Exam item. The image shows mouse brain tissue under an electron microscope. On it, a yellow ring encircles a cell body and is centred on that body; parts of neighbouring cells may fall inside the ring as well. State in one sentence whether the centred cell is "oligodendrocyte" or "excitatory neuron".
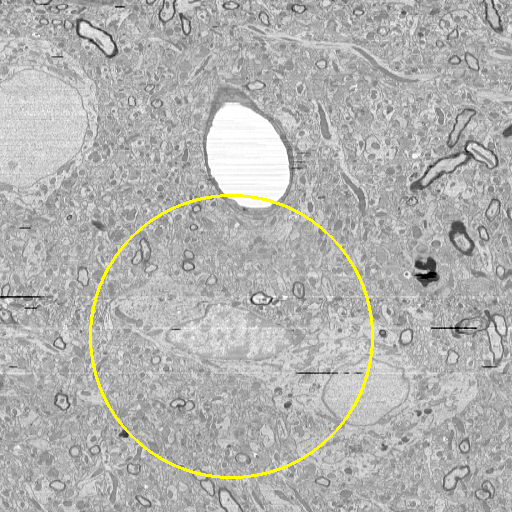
The cell body centred in the ring is an oligodendrocyte.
